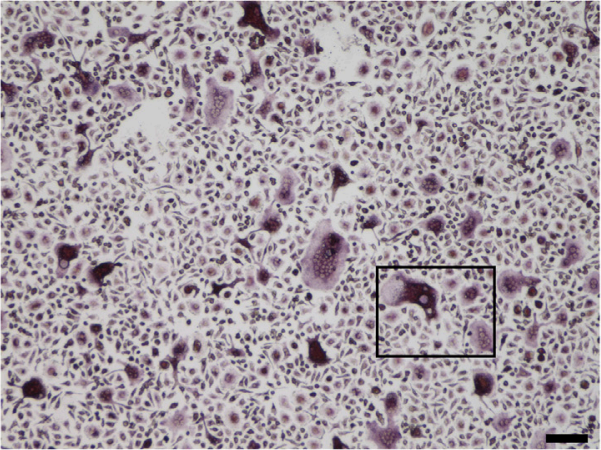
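This low-power view of a cell culture shows a dense lawn of small mononuclear cells with scattered large multinucleated osteoclasts. The osteoclasts vary in form, some rounded and pale purple with clustered central nuclei, others smaller, irregular and stained dark purple. A few clear patches lie where the cells are sparse, and the small cells between the osteoclasts are closely packed with single nuclei.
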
